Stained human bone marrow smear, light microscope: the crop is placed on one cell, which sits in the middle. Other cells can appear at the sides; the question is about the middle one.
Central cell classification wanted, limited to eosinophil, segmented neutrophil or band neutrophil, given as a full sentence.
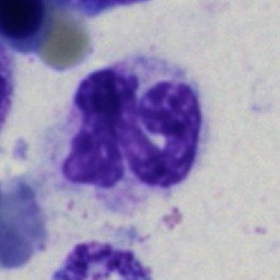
At the crop's centre, the cell is a segmented neutrophil.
